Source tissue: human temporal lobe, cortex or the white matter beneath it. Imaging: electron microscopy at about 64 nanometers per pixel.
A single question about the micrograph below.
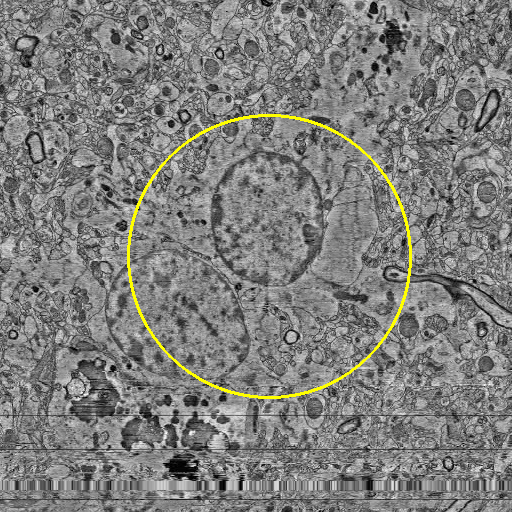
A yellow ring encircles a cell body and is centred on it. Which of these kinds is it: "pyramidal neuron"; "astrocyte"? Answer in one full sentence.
The cell body at the centre of the yellow ring belongs to an astrocyte.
